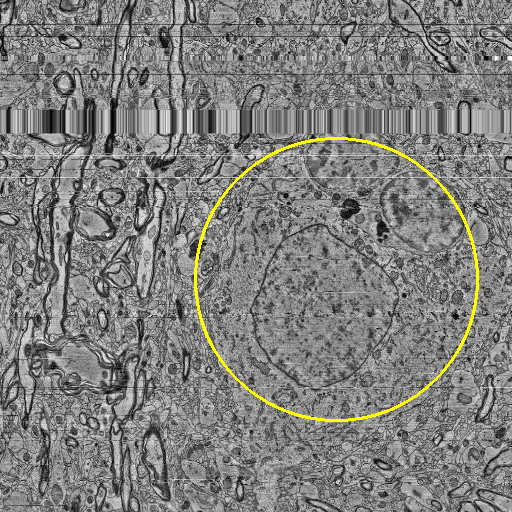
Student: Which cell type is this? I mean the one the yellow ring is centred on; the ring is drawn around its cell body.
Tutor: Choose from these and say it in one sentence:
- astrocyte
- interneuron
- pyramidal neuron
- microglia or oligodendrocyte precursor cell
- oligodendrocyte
The cell the ring is centred on is a pyramidal neuron.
